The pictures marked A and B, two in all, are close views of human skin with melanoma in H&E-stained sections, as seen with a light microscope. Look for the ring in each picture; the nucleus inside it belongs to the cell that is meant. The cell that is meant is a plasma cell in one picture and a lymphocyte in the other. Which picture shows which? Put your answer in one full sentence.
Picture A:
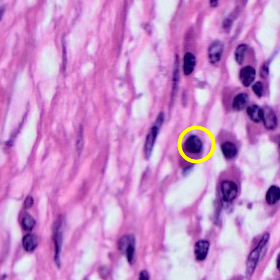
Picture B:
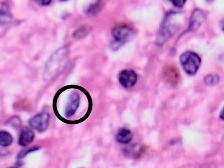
In picture A the cell is a plasma cell; in picture B, a lymphocyte.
